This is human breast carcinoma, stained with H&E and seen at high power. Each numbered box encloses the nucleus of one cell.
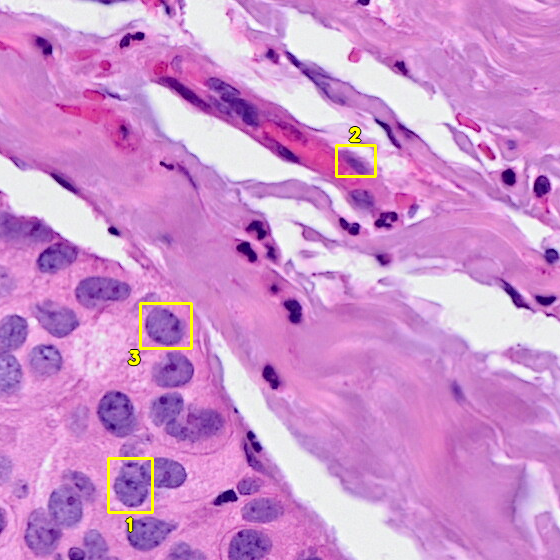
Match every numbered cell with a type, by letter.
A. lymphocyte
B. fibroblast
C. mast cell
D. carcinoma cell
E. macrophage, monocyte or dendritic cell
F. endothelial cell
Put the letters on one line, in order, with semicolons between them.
D; F; D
